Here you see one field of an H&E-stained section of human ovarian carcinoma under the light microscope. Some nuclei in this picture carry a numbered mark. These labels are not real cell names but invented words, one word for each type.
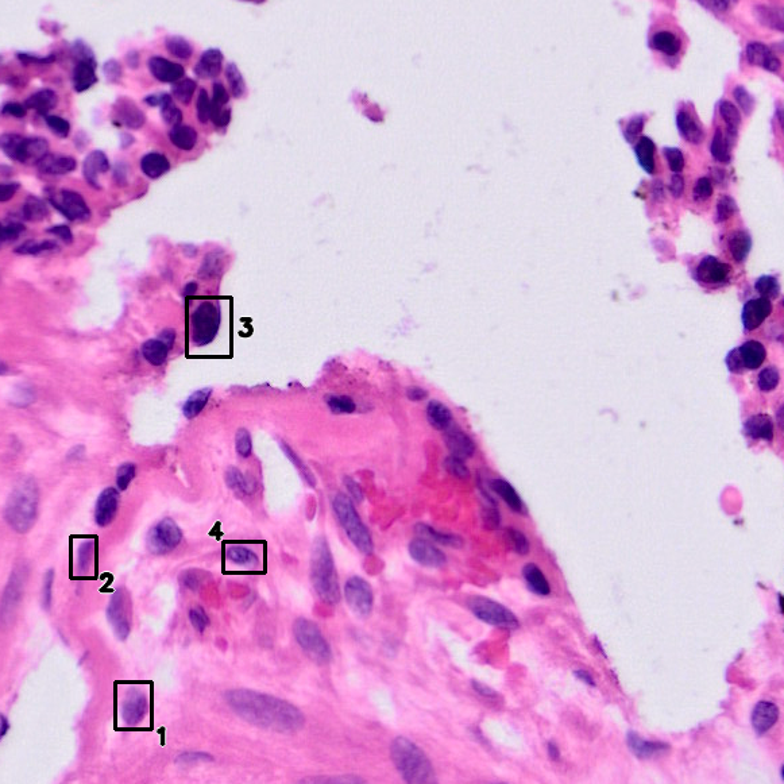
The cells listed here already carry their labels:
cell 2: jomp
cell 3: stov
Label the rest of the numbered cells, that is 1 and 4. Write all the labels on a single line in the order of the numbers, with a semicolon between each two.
jomp; jomp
